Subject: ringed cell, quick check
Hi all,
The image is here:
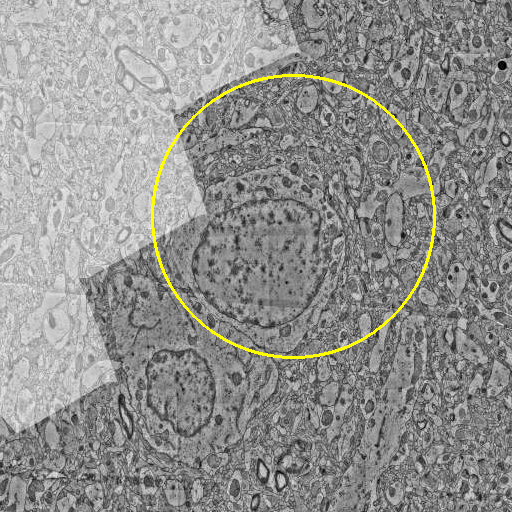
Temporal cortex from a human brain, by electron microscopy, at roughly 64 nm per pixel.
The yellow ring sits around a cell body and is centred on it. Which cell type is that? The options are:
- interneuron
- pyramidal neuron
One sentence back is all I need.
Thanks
That ringed cell is an interneuron.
